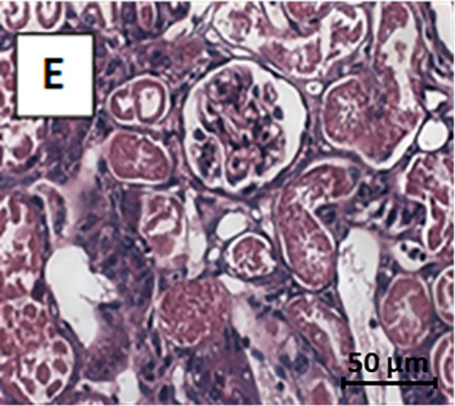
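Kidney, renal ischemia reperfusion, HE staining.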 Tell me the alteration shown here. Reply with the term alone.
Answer: Tubular necrosis.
